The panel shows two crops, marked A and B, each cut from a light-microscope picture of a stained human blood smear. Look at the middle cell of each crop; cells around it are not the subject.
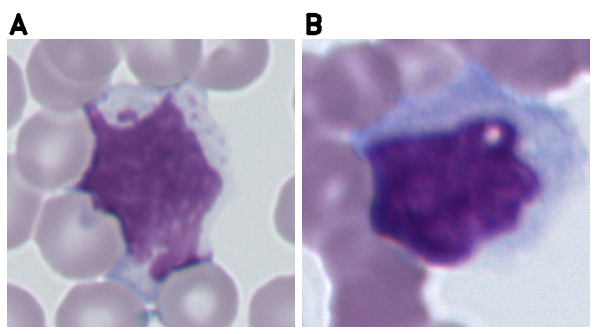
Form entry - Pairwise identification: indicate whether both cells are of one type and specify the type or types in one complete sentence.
No, crop A has a large granular lymphocyte in the middle, and crop B has a monocyte.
